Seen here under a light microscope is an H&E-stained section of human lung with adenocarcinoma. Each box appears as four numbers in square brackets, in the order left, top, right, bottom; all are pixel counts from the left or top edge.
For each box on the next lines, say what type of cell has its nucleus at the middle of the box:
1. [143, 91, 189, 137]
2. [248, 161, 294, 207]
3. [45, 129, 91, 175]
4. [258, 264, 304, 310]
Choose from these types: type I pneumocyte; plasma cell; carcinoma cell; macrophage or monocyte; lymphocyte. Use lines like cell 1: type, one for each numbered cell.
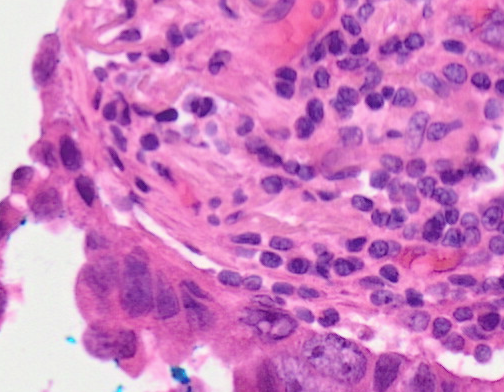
cell 1: lymphocyte
cell 2: lymphocyte
cell 3: carcinoma cell
cell 4: lymphocyte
